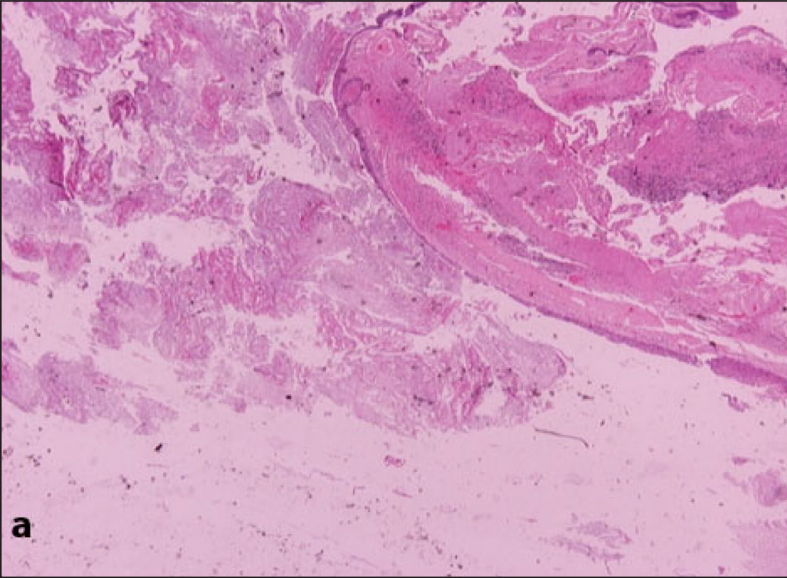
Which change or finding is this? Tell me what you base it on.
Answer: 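Benign epidermoid cyst. A thin, curving band of flattened epithelium forms a wall. Abundant pale pink, flaky, laminated material fills much of the field beside the wall.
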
